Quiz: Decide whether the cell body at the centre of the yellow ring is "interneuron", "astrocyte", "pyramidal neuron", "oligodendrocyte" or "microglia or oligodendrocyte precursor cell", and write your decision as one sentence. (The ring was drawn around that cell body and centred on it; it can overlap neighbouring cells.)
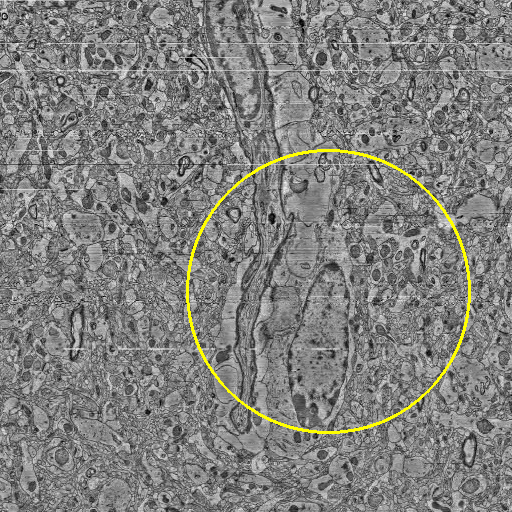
The cell the ring is centred on is a microglial cell or oligodendrocyte precursor cell.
